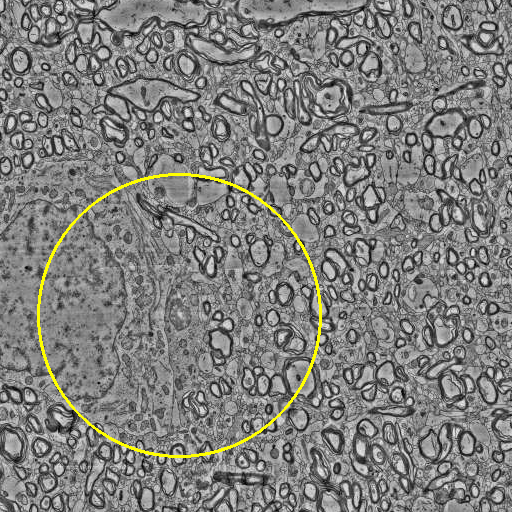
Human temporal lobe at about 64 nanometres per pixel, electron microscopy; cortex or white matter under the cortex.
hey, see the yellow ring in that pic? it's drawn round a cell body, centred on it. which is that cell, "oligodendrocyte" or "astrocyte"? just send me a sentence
The cell in the ring is an oligodendrocyte.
